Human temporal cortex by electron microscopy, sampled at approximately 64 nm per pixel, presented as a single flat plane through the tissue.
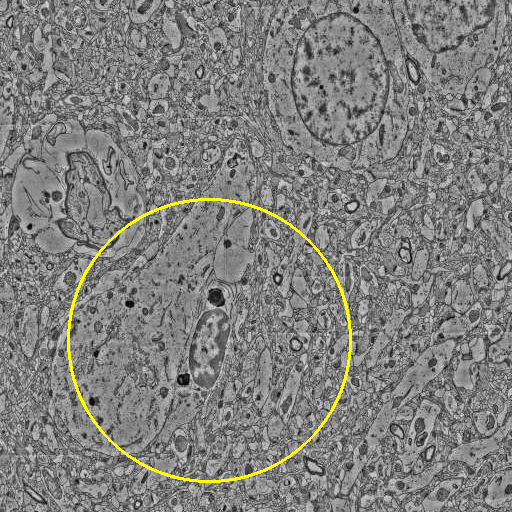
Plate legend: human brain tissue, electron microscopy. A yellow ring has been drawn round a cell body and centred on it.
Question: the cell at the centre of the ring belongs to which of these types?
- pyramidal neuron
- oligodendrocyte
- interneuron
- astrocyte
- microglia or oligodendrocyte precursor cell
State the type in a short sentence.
The cell in the middle of the ring is a microglial cell or oligodendrocyte precursor cell.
